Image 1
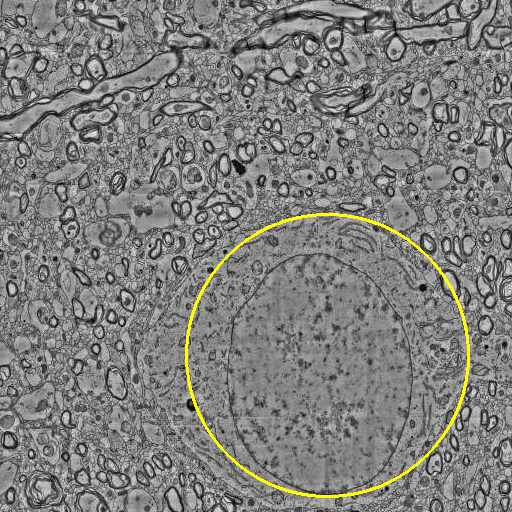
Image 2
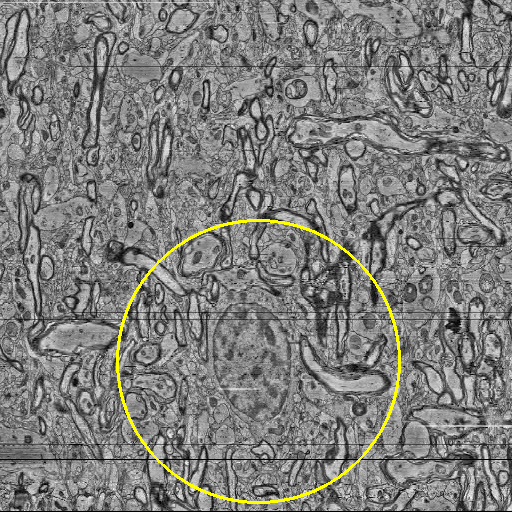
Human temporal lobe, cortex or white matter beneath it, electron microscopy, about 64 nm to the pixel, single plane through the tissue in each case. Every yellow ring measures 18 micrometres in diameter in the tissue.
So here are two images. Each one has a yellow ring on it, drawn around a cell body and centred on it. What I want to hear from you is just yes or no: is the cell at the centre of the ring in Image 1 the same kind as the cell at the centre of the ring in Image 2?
no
